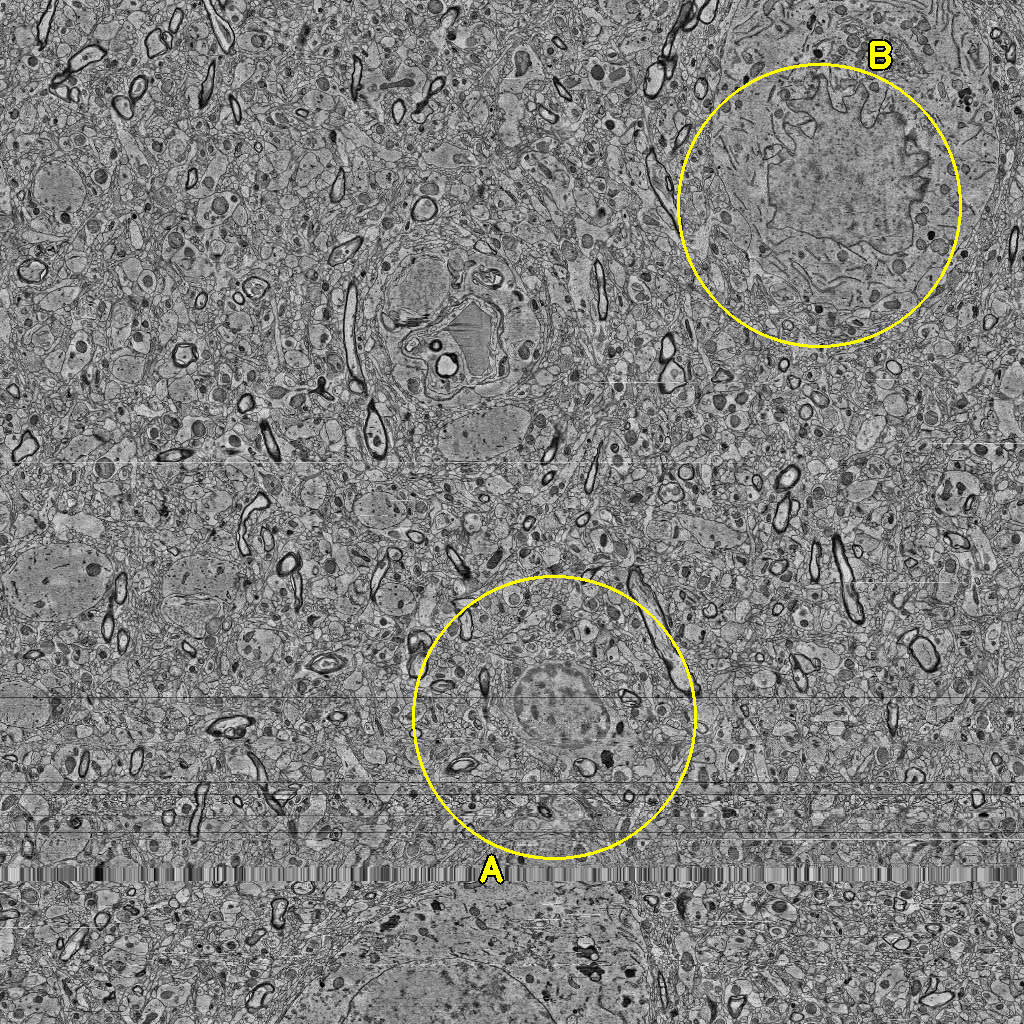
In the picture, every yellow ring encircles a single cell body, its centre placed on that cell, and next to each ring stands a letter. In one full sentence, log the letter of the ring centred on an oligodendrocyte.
The ring with the requested cell at its centre bears the letter A.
